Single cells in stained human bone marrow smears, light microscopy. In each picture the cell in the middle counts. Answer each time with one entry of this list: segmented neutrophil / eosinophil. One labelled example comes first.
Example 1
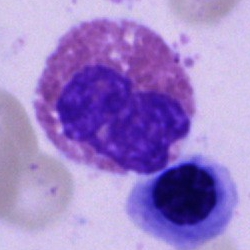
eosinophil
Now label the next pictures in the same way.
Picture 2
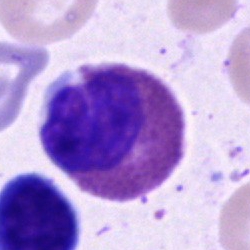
eosinophil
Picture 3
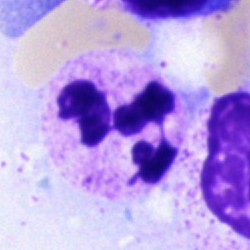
segmented neutrophil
